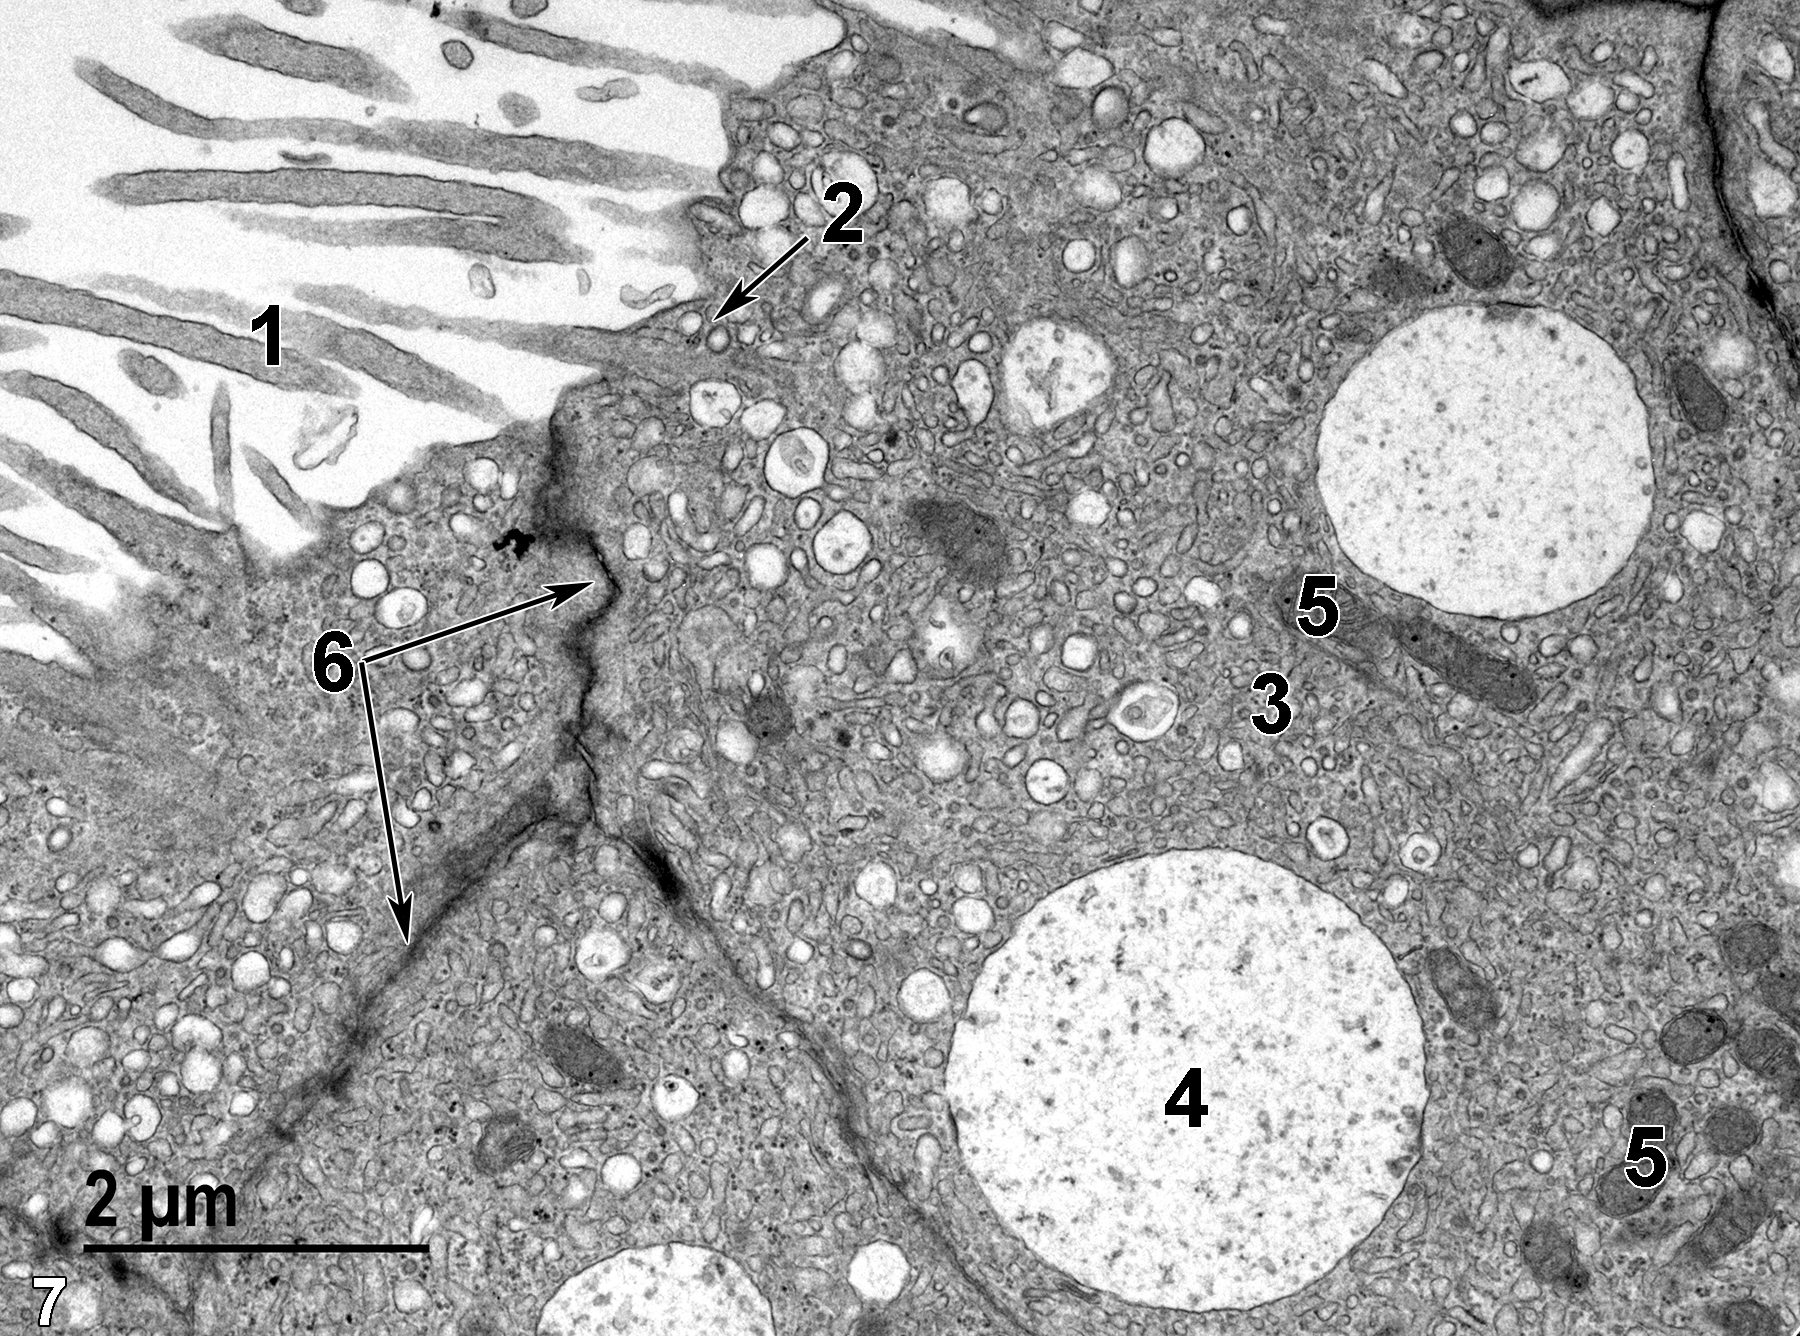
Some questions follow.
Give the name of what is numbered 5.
mitochondria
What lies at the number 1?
At 1: stereocilia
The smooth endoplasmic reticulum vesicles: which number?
3.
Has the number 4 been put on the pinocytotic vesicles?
No, 4 marks the large vacuoles.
